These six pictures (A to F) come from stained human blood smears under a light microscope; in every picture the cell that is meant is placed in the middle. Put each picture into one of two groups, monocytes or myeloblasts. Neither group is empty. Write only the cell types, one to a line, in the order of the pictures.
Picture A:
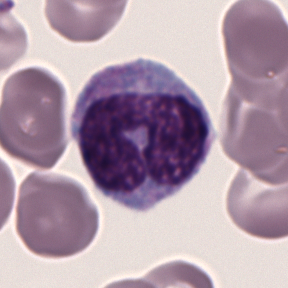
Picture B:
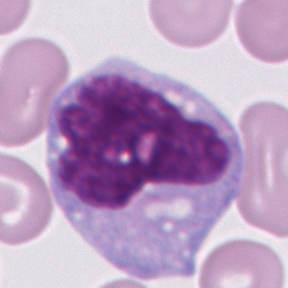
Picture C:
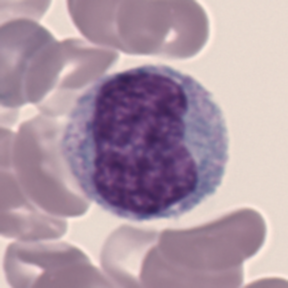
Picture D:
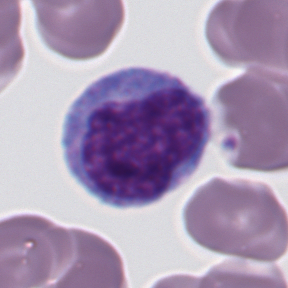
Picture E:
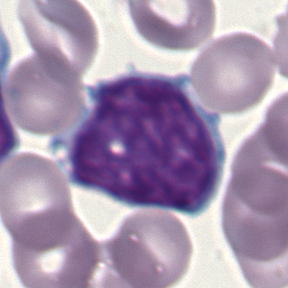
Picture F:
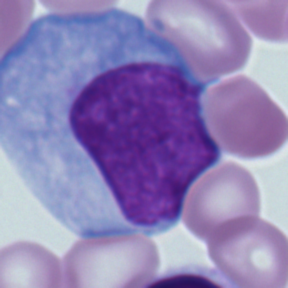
monocyte
monocyte
monocyte
monocyte
myeloblast
myeloblast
